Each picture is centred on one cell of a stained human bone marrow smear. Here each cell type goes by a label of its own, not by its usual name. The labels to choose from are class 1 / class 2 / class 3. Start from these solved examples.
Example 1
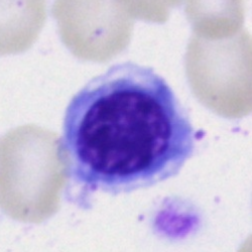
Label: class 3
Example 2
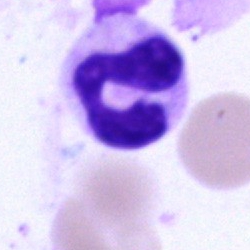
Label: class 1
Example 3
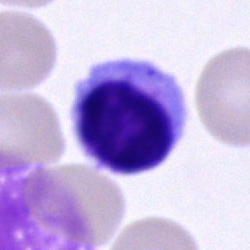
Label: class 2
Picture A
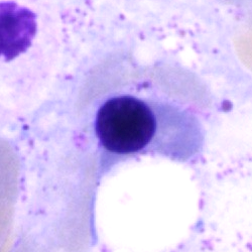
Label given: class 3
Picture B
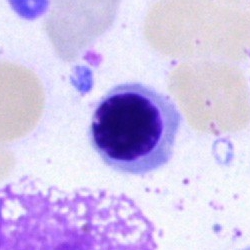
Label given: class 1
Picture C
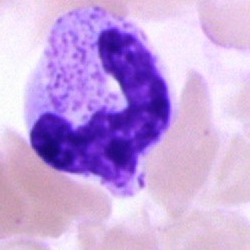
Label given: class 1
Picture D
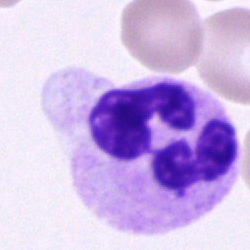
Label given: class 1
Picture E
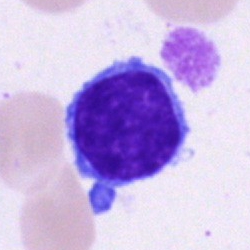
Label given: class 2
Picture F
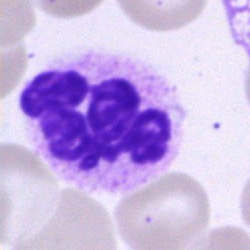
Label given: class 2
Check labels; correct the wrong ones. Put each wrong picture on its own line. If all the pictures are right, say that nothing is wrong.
B should be class 3, not class 1
F should be class 1, not class 2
